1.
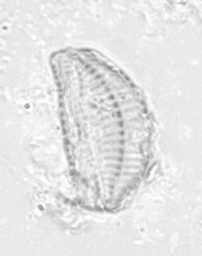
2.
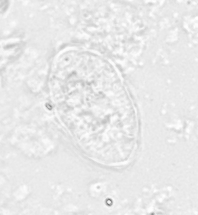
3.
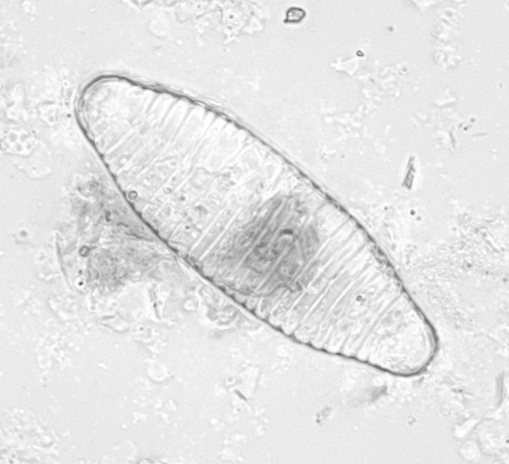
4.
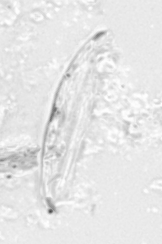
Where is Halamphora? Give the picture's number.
4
